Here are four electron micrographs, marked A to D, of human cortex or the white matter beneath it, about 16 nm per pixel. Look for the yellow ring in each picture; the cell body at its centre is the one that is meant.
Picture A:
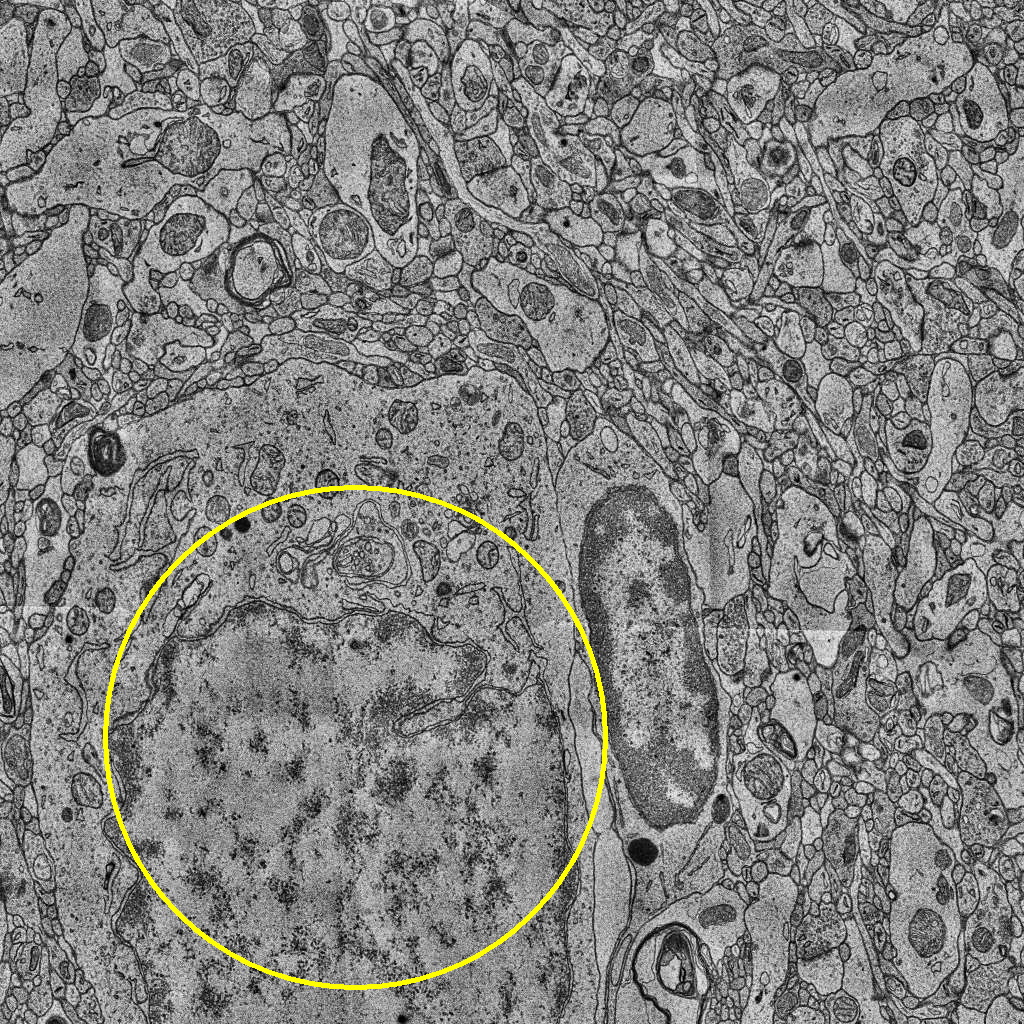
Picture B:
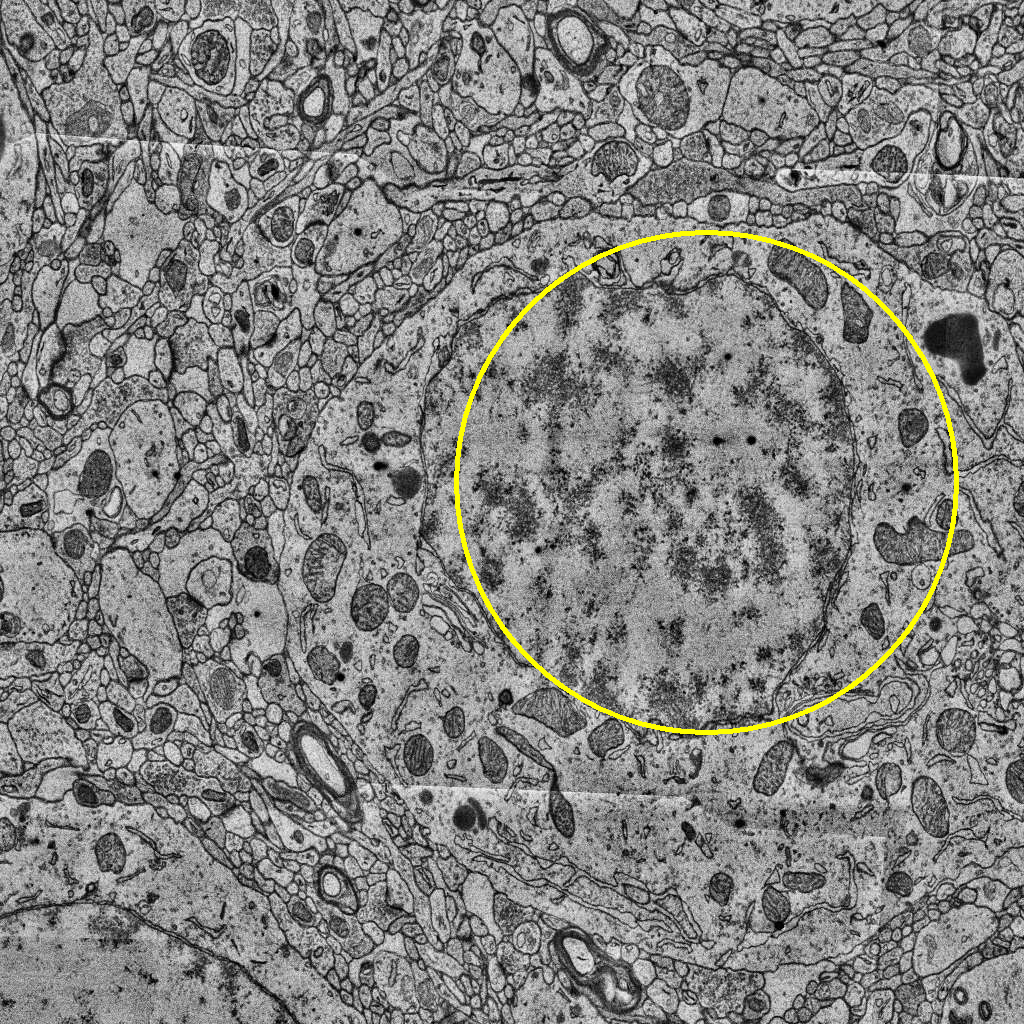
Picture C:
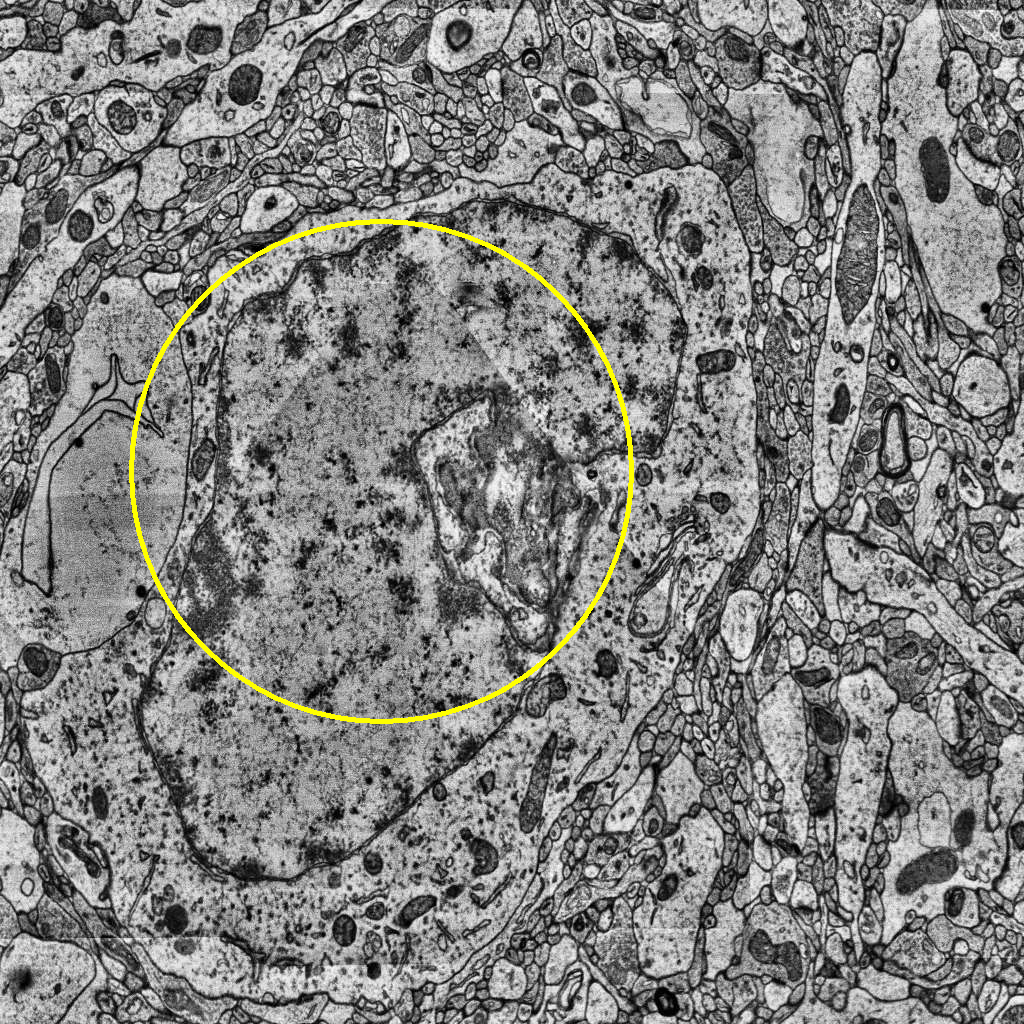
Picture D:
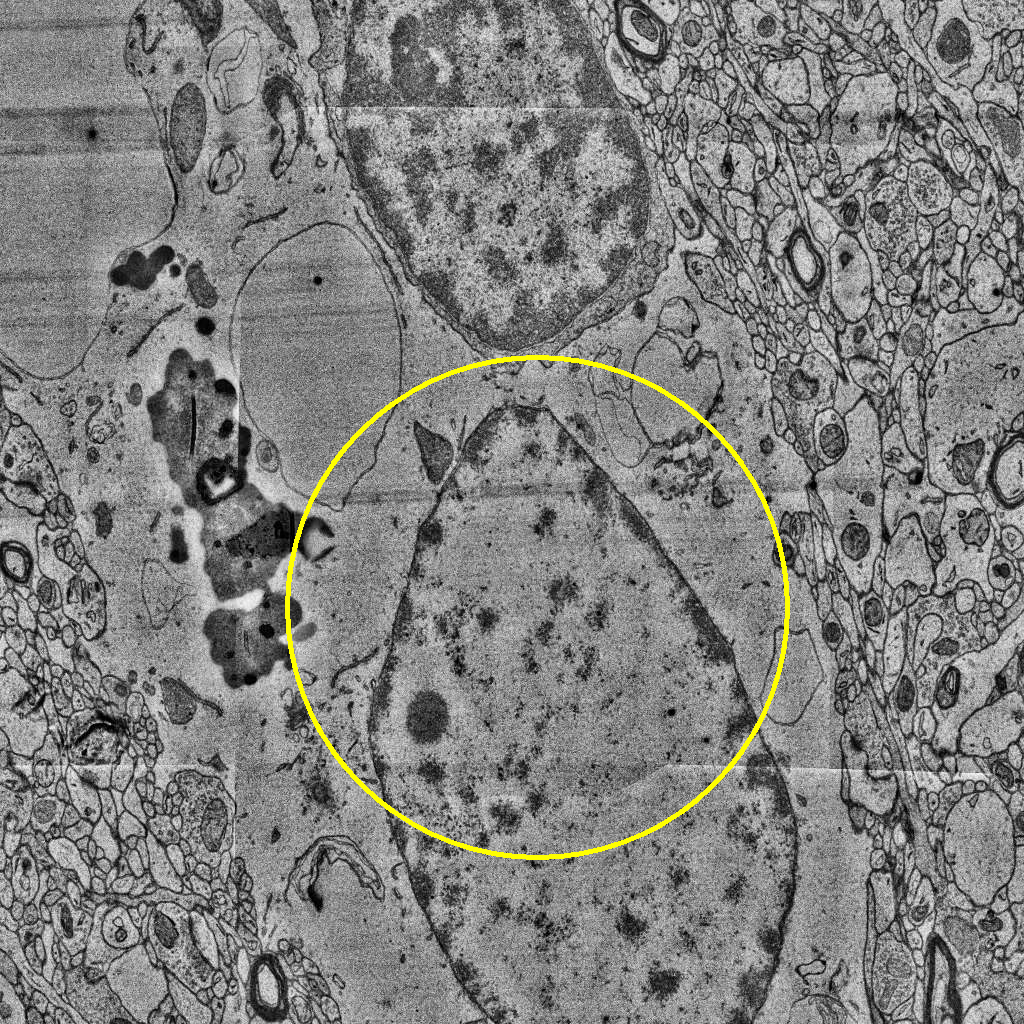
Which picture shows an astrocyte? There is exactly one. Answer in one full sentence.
The picture with the astrocyte is D.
